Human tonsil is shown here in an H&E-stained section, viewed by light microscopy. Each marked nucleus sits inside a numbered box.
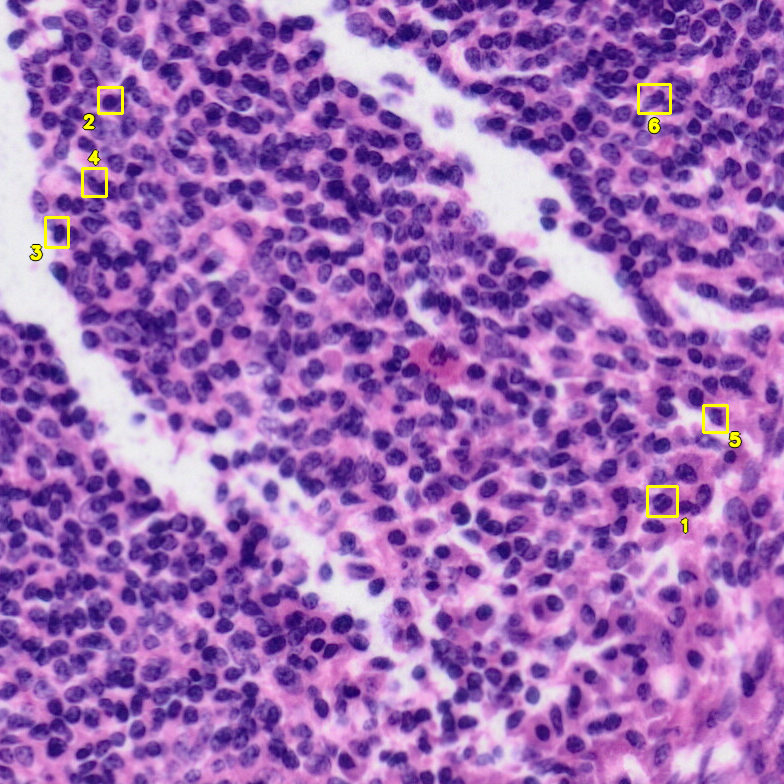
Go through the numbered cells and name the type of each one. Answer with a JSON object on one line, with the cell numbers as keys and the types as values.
{"1": "plasma cell", "2": "small lymphocyte", "3": "small lymphocyte", "4": "small lymphocyte", "5": "plasma cell", "6": "small lymphocyte"}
